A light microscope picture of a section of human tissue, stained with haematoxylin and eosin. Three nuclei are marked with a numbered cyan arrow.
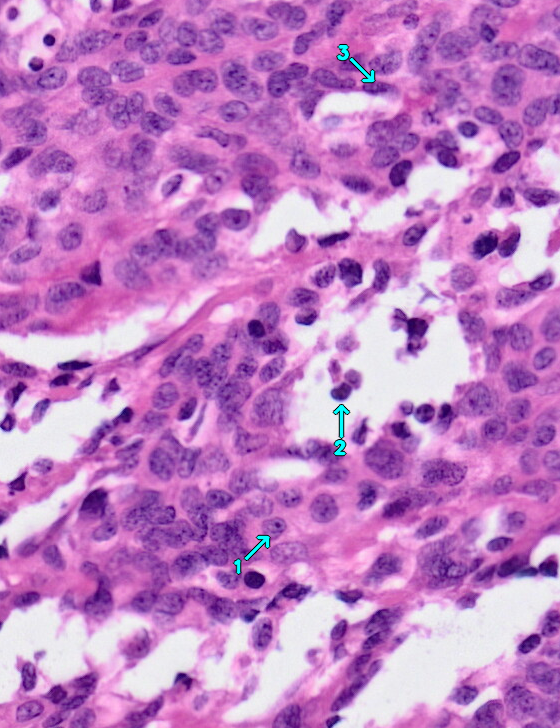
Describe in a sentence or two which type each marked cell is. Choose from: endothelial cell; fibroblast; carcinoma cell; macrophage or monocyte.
Cell 1 is a macrophage or monocyte. Cells 2 and 3 are carcinoma cells.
